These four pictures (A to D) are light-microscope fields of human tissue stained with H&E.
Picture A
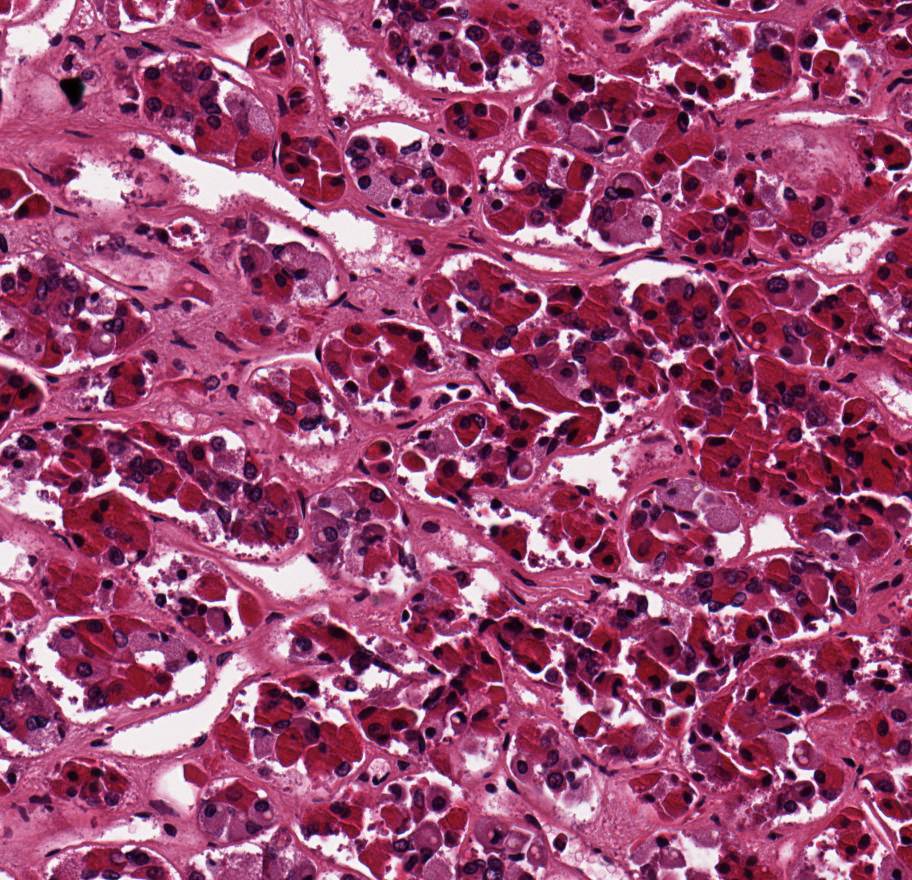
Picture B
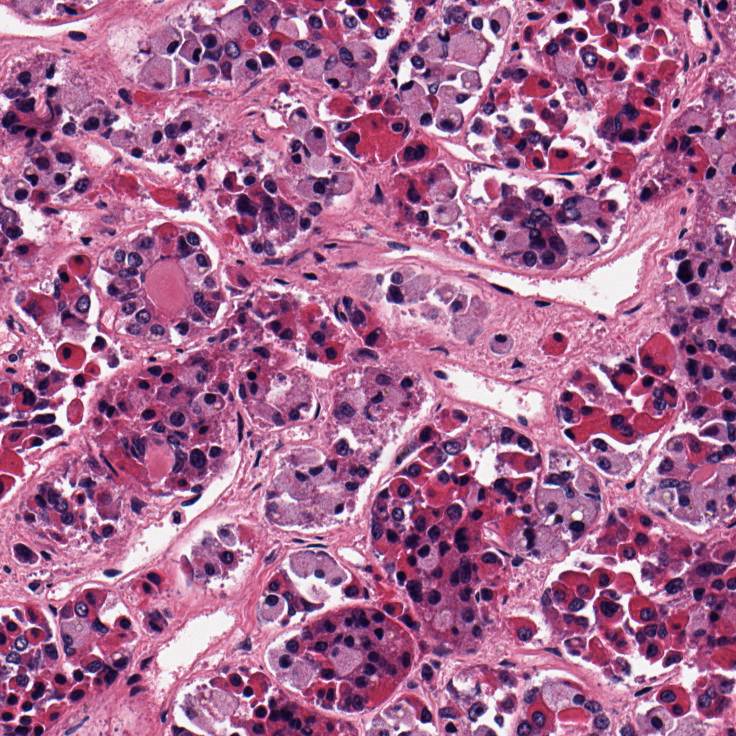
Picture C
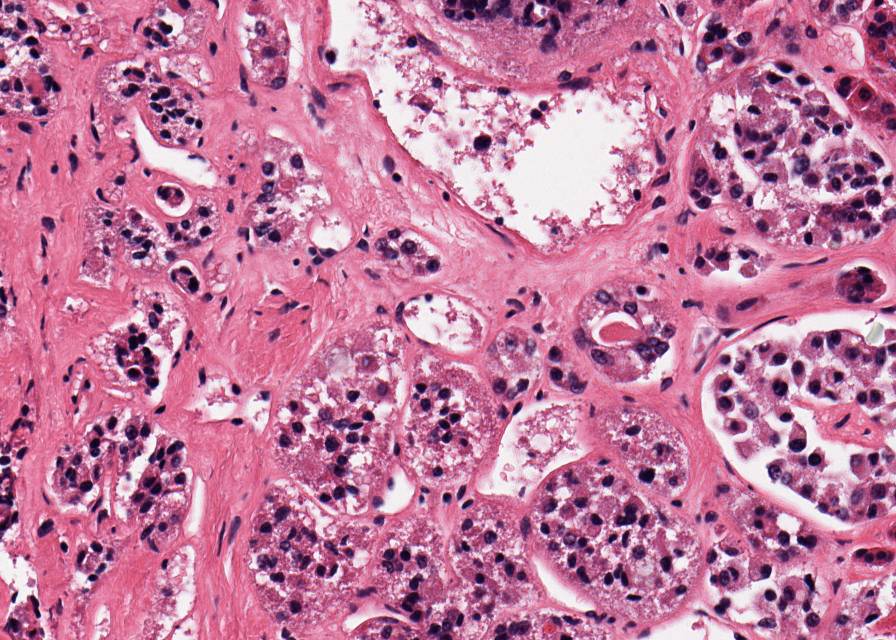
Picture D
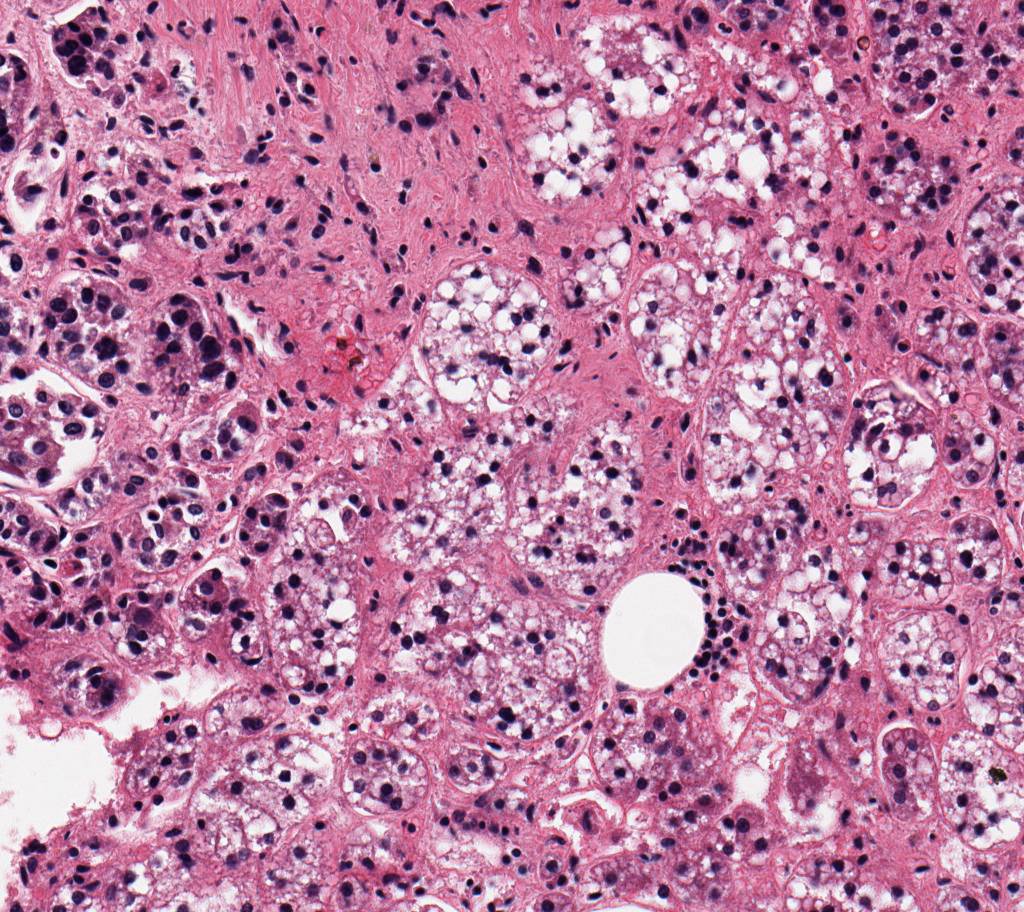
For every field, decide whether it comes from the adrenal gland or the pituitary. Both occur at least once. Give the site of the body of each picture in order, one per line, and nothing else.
pituitary
pituitary
pituitary
adrenal gland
